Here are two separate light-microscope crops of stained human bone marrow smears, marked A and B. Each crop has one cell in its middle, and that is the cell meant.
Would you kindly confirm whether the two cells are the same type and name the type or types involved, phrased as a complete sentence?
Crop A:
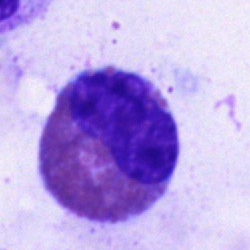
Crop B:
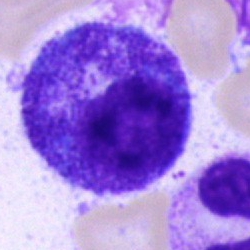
No, crop A contains an eosinophil, and crop B contains a promyelocyte.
